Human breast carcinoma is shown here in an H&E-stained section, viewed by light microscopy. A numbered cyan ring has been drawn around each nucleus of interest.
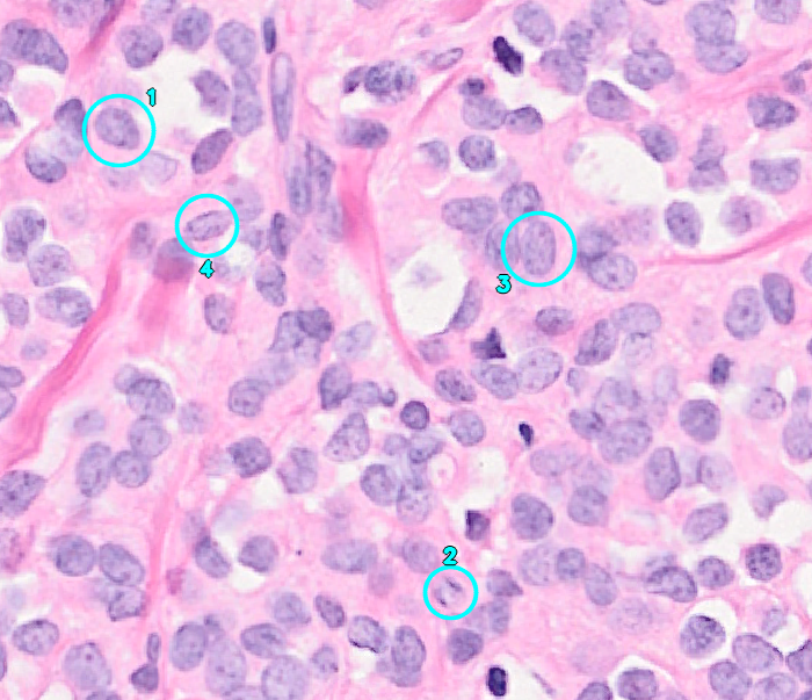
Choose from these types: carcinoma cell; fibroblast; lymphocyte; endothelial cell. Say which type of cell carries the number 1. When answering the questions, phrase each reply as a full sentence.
The cell referenced by the number 1 is a carcinoma cell in this field.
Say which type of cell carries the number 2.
Cell number 2 in this section is an endothelial cell.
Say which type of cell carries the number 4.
To a carcinoma cell belongs the nucleus marked 4.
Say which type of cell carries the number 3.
The cell referenced by the number 3 is a carcinoma cell in this field.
